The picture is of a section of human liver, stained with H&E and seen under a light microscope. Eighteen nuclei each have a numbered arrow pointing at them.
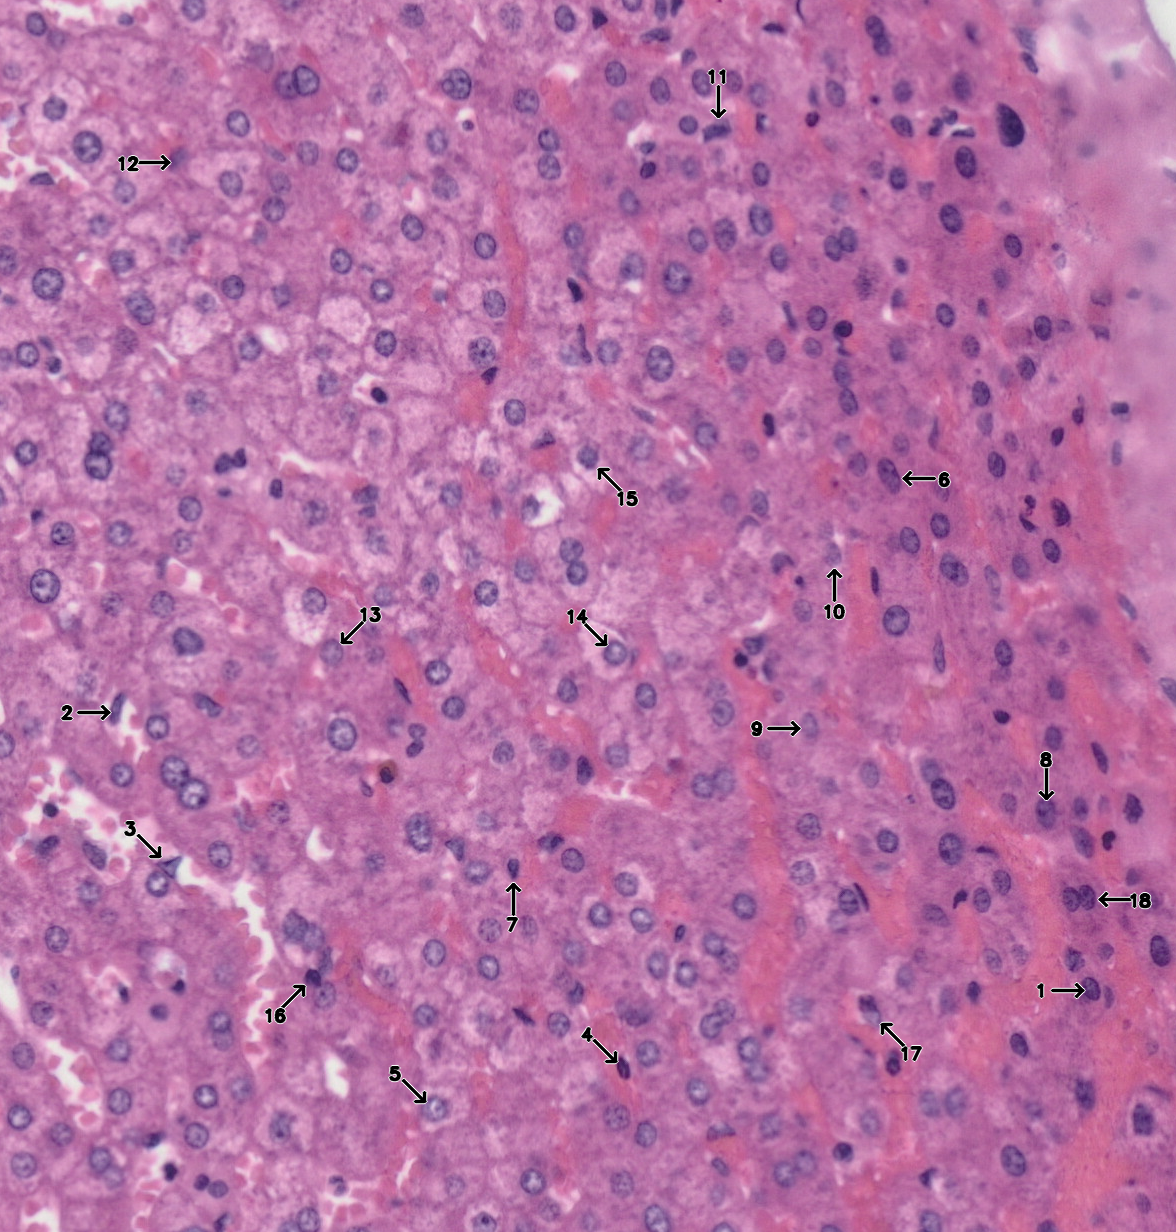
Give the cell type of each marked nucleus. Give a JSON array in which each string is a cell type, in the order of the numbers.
["hepatocyte", "Kupffer cell", "endothelial cell", "lymphocyte", "hepatocyte", "hepatocyte", "fibroblast or stellate cell", "hepatocyte", "hepatocyte", "hepatocyte", "fibroblast or stellate cell", "endothelial cell", "hepatocyte", "hepatocyte", "hepatocyte", "fibroblast or stellate cell", "Kupffer cell", "hepatocyte"]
